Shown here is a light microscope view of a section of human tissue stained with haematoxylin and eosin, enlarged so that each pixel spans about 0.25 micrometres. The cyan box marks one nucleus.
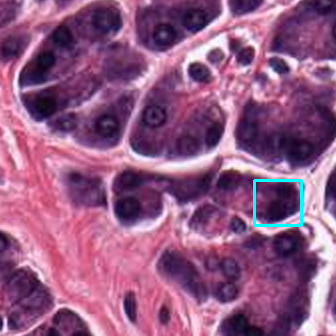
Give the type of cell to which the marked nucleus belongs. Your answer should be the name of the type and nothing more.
pancreatic acinar cell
